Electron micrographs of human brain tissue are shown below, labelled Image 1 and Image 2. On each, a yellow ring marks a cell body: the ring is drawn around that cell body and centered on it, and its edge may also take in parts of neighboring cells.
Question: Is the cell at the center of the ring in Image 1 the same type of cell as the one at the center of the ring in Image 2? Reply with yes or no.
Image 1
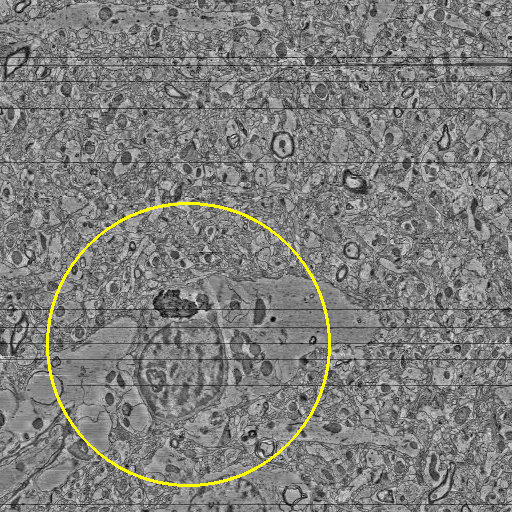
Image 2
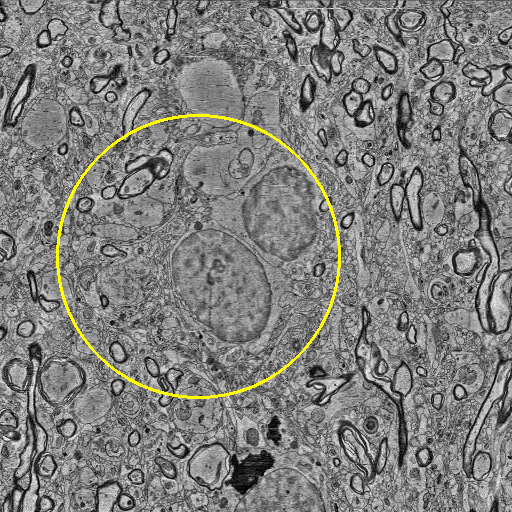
yes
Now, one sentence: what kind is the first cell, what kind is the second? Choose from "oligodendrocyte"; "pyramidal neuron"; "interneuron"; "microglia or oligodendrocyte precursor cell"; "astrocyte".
Each cell at the centre of a ring is an oligodendrocyte.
